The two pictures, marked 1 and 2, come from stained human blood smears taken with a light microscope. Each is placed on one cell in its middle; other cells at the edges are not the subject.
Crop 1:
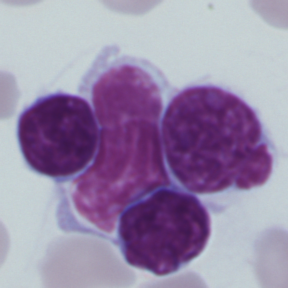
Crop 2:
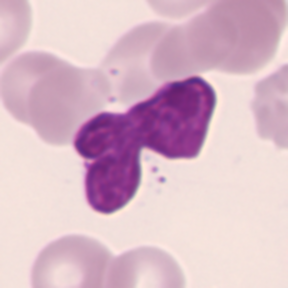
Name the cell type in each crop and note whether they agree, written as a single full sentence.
No, crop 1 features a myeloblast, and crop 2 features a smudge cell.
